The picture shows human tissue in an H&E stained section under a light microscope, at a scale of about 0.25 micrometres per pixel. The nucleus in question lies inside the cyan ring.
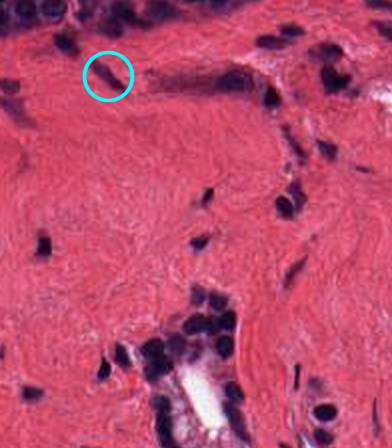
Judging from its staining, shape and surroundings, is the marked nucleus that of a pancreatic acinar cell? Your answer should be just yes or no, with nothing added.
no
